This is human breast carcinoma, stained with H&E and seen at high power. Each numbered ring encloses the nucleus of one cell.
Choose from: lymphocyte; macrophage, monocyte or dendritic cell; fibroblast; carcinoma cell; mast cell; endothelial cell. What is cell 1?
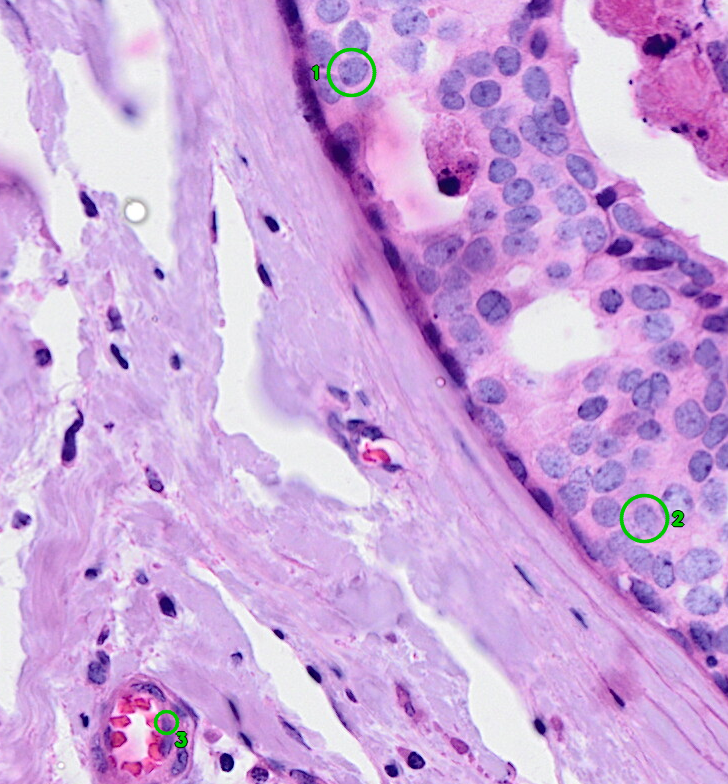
carcinoma cell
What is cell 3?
endothelial cell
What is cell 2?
carcinoma cell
